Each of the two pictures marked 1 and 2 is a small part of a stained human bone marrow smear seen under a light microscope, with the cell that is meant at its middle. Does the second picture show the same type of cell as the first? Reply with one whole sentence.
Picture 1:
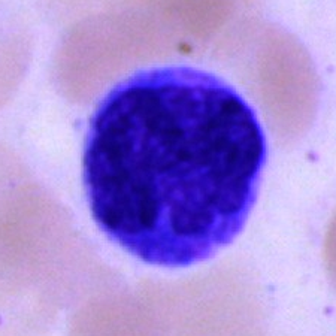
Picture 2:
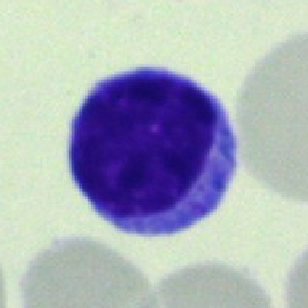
No; the cell in picture 1 is a monocyte, while the one in picture 2 is a lymphocyte.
